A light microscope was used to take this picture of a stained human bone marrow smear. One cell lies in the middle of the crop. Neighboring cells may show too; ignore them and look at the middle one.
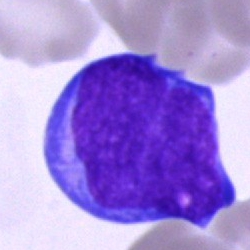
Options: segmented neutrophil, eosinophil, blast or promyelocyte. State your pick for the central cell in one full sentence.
In this crop, the cell at the very middle is a blast.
